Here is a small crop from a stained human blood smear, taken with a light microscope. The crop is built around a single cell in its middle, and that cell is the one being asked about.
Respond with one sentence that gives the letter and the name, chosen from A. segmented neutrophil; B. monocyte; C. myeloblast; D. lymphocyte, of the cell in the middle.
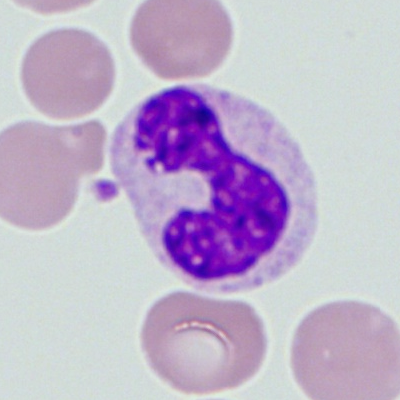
The central cell in this crop is a segmented neutrophil, corresponding to option A, the correct option.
